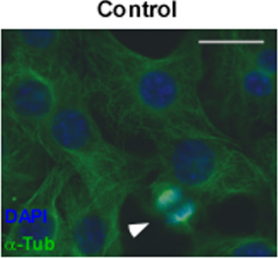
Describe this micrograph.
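Cultured cells, mostly in interphase, lie flat and spread in a loose monolayer. Each has a single oval blue nucleus, and the cytoplasm around it is filled with a fine green network of filaments radiating toward the cell edges, which overlap with neighbouring cells. Near the lower middle one cell stands apart: it is smaller and rounded, its blue DNA is compact and bright, and green signal is concentrated tightly around it, as expected of a dividing cell in mitosis.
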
